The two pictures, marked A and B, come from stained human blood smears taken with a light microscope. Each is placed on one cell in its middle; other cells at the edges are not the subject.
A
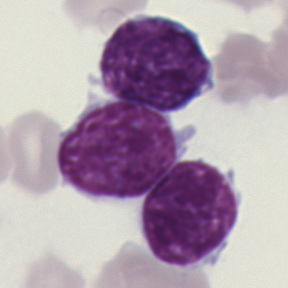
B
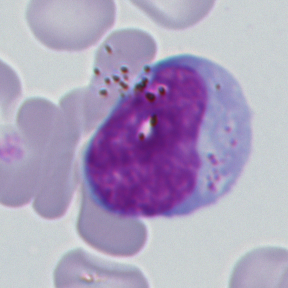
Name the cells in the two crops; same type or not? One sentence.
No, at the centre of crop A is a blast, and at the centre of crop B is a large granular lymphocyte.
